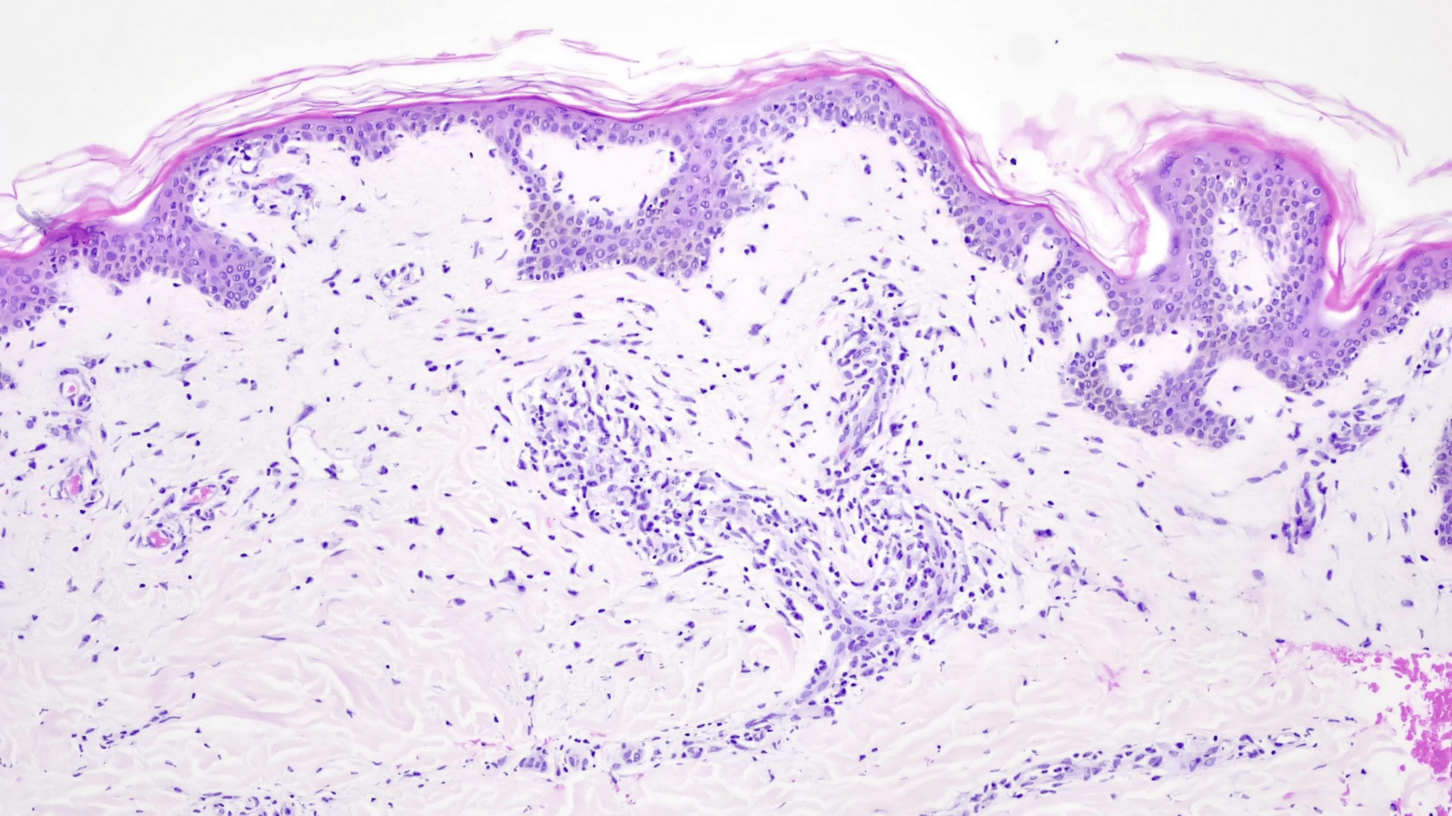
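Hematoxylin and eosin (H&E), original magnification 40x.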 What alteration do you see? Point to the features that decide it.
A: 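Superficial perivascular dermal infiltrate. Clusters of small dark round nuclei gather around small vessels in the upper dermis. The clusters lie below the epidermis, not deep in the dermis.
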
